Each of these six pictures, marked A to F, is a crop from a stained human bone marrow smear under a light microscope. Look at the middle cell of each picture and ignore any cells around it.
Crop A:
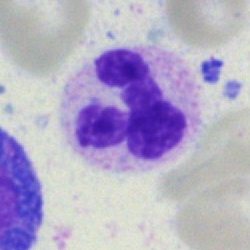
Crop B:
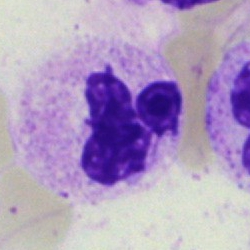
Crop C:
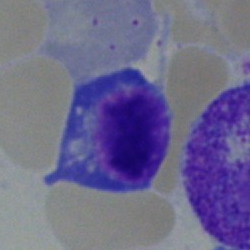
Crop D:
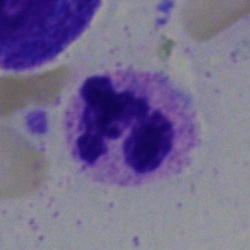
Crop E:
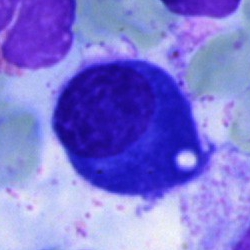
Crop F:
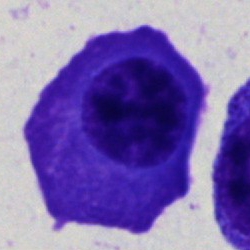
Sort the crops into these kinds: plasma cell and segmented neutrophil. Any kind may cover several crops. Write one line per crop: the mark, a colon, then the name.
A: segmented neutrophil
B: segmented neutrophil
C: plasma cell
D: segmented neutrophil
E: plasma cell
F: plasma cell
